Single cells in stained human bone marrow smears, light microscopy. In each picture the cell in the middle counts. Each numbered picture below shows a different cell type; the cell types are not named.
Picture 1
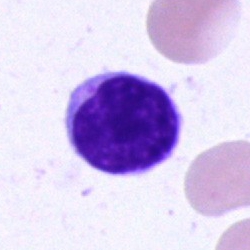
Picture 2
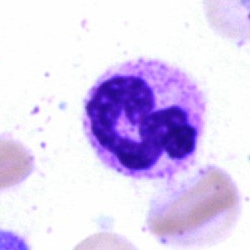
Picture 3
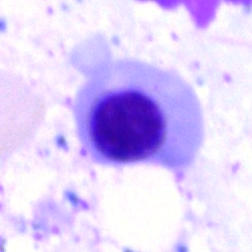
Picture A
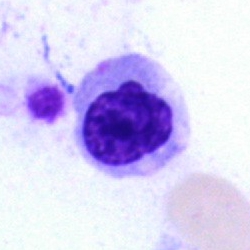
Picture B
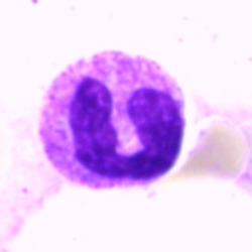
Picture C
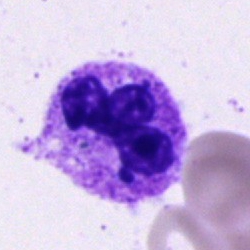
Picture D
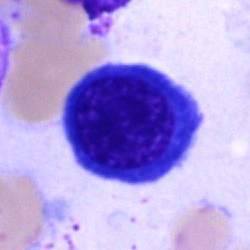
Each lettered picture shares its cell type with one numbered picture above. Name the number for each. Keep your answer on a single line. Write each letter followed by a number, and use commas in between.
A 3, B 2, C 2, D 3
